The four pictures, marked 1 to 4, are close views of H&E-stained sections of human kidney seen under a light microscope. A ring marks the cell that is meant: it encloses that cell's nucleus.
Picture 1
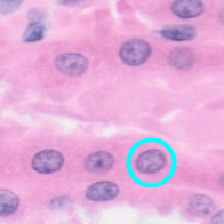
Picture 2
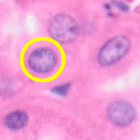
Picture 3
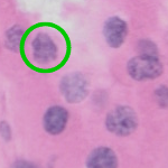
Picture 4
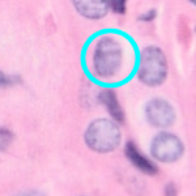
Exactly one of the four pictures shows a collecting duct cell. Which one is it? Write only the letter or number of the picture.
4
